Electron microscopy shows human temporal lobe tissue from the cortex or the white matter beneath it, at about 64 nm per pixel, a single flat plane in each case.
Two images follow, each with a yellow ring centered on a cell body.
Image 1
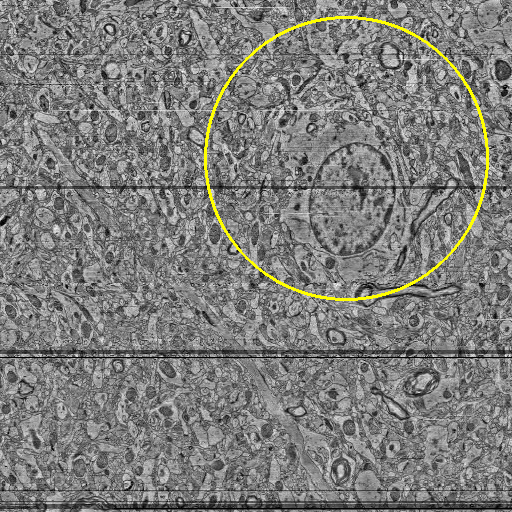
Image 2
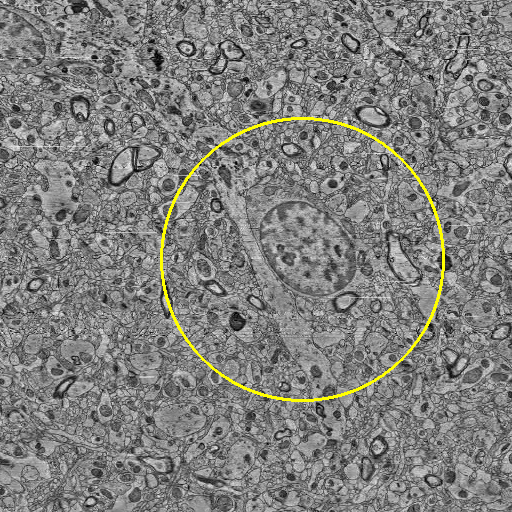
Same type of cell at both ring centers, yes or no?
no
